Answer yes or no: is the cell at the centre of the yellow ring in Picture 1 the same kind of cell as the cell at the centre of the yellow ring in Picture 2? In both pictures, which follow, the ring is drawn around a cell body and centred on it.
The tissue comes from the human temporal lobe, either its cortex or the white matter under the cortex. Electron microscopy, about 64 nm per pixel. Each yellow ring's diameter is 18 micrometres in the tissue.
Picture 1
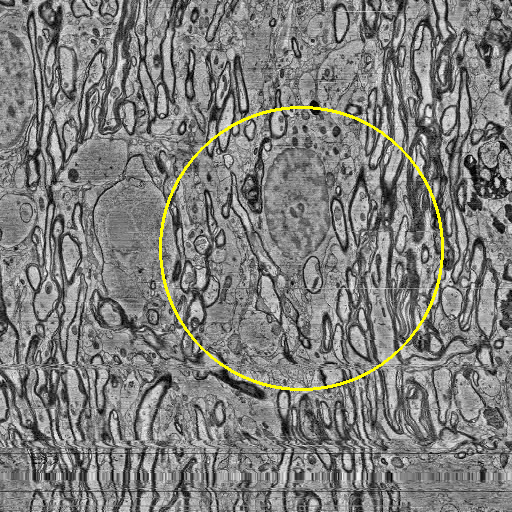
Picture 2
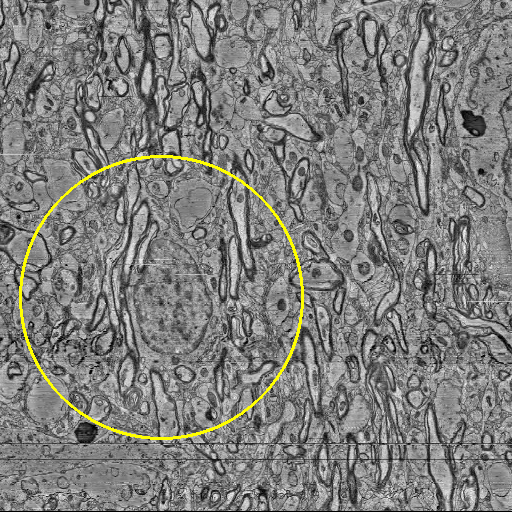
yes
